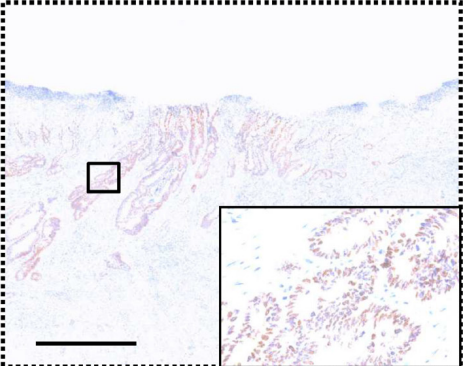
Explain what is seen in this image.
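Irregular, branching glands lie scattered through pale blue stroma beneath the surface, and their nuclei are stained brown. In the enlargement, the brown nuclei are crowded and irregular in tight gland-like clusters, while the surrounding stromal nuclei stay blue.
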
